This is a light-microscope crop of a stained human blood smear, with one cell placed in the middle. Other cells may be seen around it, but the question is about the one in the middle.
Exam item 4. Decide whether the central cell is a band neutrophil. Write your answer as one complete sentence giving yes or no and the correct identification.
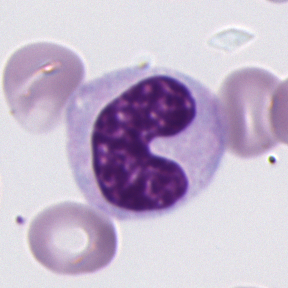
Yes, in this crop the cell in the middle is a band neutrophil.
